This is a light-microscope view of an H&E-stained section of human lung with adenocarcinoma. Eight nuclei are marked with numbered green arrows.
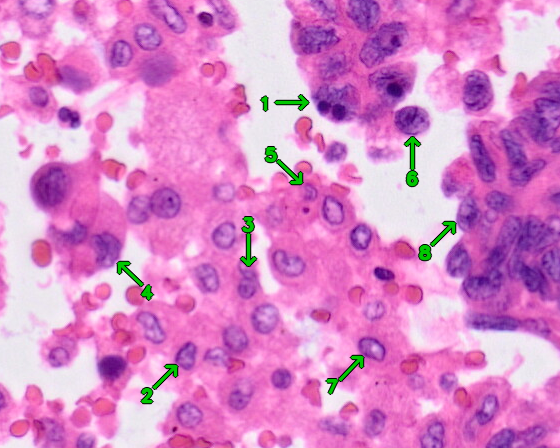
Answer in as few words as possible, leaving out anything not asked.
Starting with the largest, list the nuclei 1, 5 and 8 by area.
1, 8, 5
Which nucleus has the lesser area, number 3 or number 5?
5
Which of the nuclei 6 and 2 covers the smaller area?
2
